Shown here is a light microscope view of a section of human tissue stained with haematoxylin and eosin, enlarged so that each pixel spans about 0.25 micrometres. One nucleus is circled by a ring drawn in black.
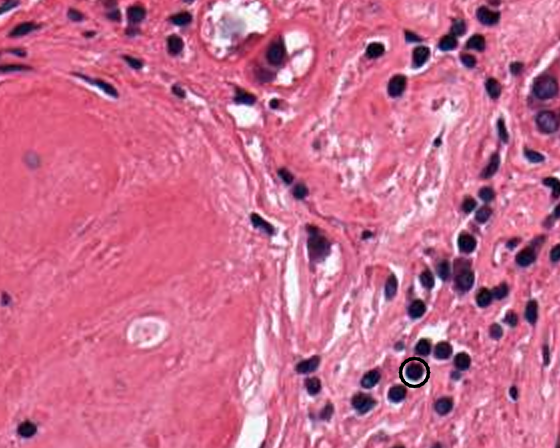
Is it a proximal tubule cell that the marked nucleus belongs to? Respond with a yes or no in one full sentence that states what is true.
No, rather than to a proximal tubule cell, the marked nucleus belongs to a supporting cell.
